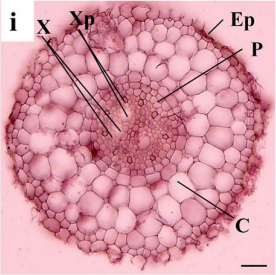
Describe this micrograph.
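At the rim lies the epidermis, a single layer of small, tightly packed cells with a darker edge. Inside it the cortex takes up most of the section: many layers of large, rounded, thin-walled cells with clear interiors and small gaps between them. In the centre sits a compact cylinder of much smaller cells; its outer ring is the pericycle, and within it lie xylem vessels, seen as wider open cells, surrounded by small xylem parenchyma cells. The purple tint is deepest in the outer layer and around the central cylinder.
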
